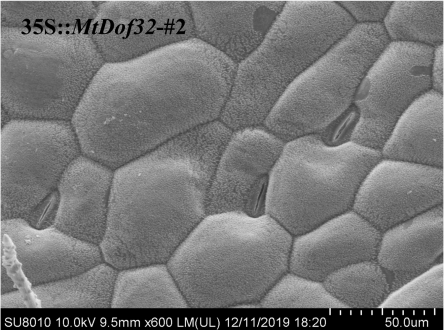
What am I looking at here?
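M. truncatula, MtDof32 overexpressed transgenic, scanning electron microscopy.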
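The epidermal surface shows a mosaic of broad polygonal cells fitted edge to edge, their walls marked by shallow grooves. The cells are domed, with a finely textured surface. A few small stomata with paired guard cells lie between them.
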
